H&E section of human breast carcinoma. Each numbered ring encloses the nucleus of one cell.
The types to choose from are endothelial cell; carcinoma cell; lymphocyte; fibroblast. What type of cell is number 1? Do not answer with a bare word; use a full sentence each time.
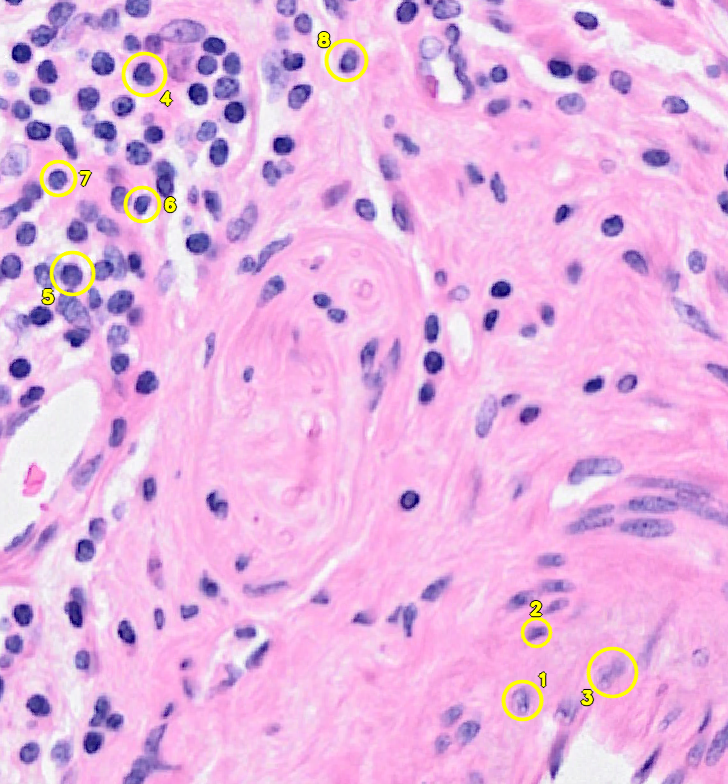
Cell 1 of the marked set is an endothelial cell.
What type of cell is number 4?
Looking at the numbered marks, cell 4 is a lymphocyte.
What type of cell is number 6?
The cell that is numbered 6 is a lymphocyte.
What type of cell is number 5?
Number 5 among the marked cells is a lymphocyte.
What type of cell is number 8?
The cell that carries the label 8 is a lymphocyte.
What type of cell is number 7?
The cell pointed out by number 7 is a lymphocyte.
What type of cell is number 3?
At number 3, the marked cell is an endothelial cell.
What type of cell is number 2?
Cell 2, as marked in the section, is an endothelial cell.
